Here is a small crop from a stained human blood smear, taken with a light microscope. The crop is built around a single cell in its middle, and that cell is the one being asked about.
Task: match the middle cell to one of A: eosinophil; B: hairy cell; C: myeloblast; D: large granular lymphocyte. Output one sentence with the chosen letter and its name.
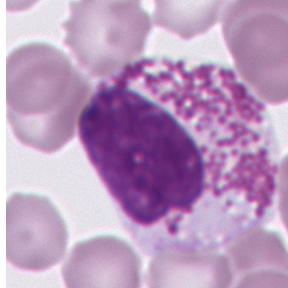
The cell in the middle is an eosinophil, and so option A is correct.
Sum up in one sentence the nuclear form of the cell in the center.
A single compact nucleus is present, shaped round, oval or like a kidney.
